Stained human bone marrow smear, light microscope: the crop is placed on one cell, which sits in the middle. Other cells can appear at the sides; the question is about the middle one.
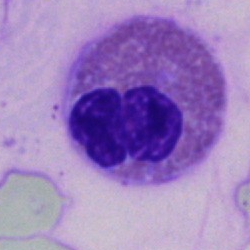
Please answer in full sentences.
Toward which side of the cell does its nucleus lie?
The nucleus sits off-centre, toward the lower left.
